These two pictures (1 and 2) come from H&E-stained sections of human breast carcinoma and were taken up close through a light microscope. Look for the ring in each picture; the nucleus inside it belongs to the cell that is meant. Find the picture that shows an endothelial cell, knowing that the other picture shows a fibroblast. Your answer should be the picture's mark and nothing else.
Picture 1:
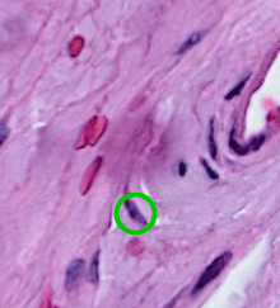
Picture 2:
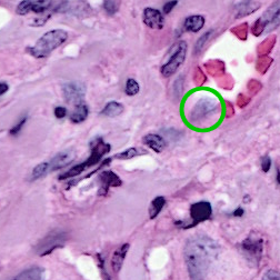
2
